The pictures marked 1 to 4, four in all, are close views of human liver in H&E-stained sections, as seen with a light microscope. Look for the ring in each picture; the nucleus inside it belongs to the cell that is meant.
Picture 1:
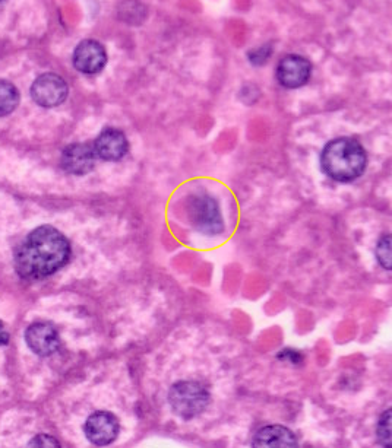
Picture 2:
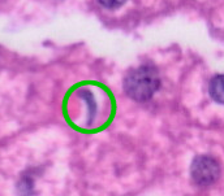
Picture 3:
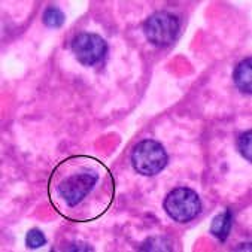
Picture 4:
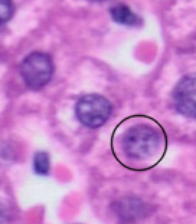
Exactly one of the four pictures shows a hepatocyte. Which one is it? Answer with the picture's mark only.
4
